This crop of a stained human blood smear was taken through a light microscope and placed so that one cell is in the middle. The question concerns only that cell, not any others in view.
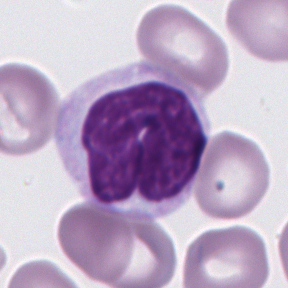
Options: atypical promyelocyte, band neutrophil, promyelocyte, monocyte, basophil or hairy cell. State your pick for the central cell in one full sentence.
The center cell of this crop is a band neutrophil.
